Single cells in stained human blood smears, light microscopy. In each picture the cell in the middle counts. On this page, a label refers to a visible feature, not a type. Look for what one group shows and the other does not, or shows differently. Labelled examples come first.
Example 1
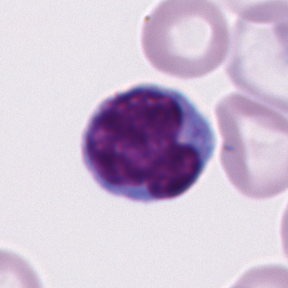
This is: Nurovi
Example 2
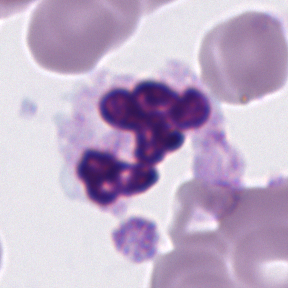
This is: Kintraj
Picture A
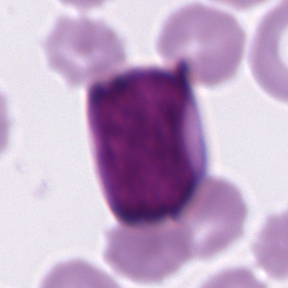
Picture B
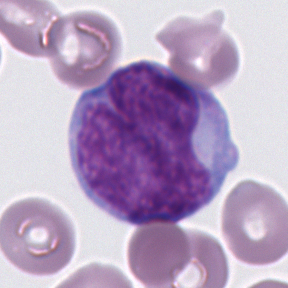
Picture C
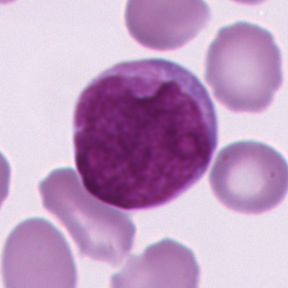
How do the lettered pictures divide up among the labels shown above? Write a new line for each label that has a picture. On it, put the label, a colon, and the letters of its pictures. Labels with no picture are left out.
Nurovi: C
Kintraj: A, B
